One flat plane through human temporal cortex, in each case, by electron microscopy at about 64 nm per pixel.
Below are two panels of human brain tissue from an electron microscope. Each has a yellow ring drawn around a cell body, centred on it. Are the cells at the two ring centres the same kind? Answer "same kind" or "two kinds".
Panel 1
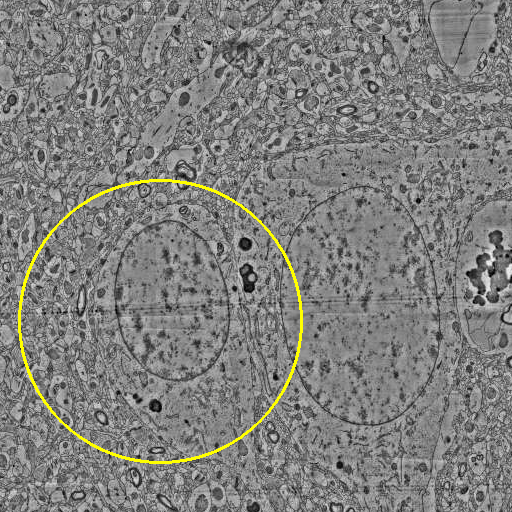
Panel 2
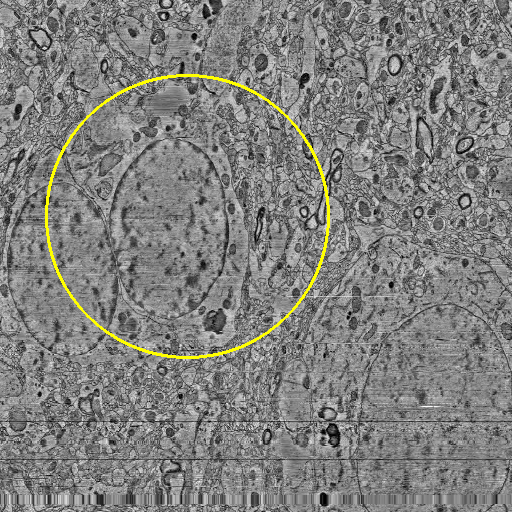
two kinds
